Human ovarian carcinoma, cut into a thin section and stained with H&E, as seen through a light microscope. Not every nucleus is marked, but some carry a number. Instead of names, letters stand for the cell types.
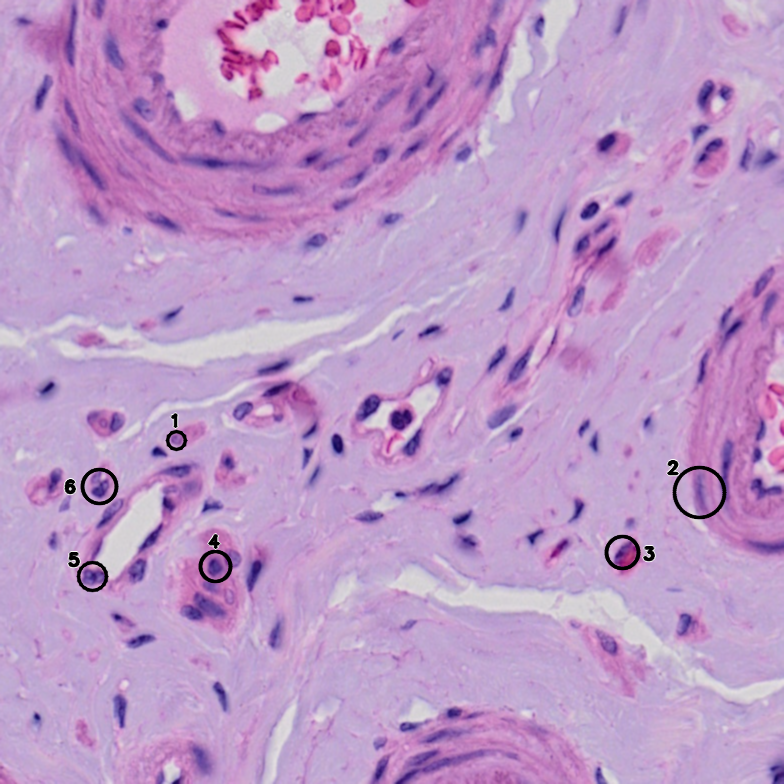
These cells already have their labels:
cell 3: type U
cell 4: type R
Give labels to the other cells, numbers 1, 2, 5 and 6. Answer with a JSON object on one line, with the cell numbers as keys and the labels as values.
{"1": "type R", "2": "type R", "5": "type U", "6": "type U"}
